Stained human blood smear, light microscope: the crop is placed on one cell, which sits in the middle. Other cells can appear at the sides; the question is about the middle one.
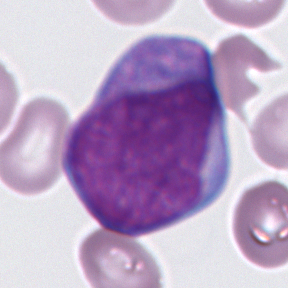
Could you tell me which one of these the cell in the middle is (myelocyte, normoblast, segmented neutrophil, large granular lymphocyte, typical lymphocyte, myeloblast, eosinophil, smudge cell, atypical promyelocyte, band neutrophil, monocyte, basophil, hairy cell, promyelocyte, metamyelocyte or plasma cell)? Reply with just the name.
atypical promyelocyte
